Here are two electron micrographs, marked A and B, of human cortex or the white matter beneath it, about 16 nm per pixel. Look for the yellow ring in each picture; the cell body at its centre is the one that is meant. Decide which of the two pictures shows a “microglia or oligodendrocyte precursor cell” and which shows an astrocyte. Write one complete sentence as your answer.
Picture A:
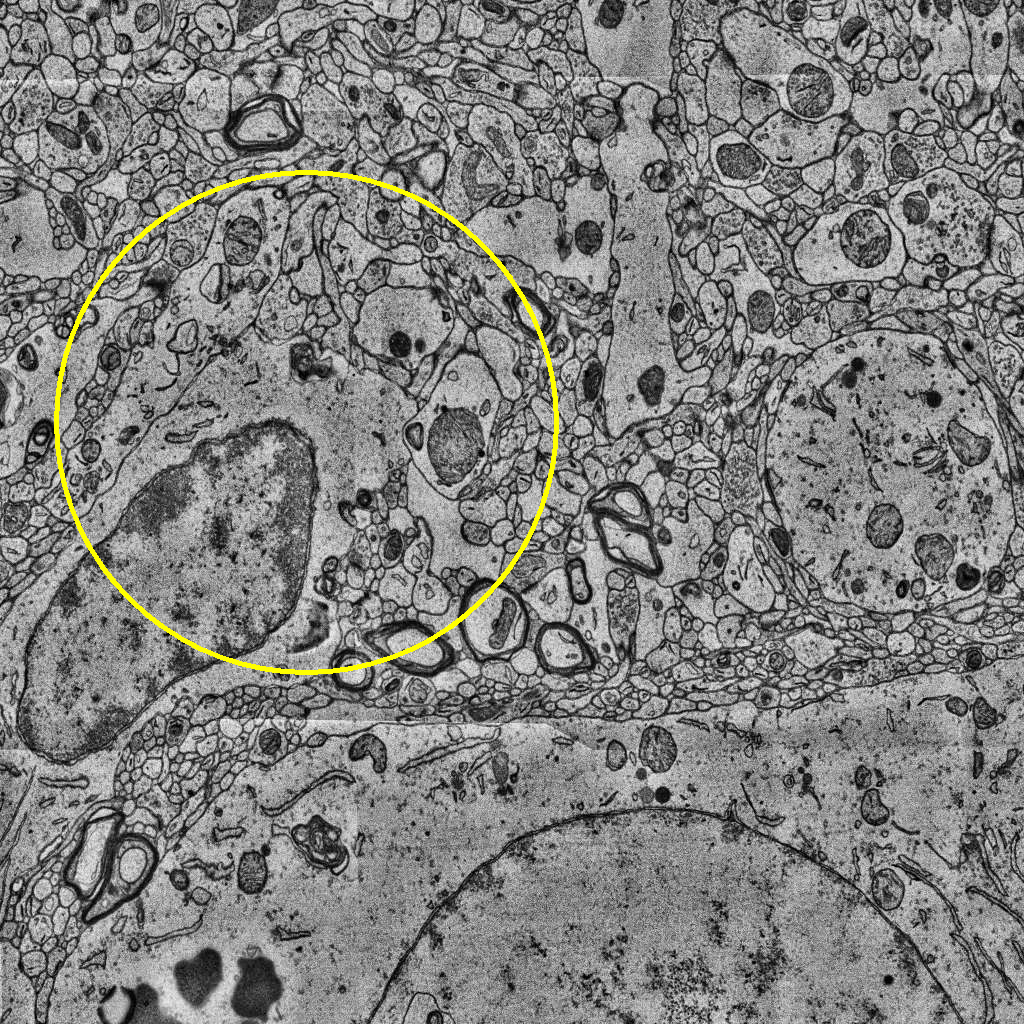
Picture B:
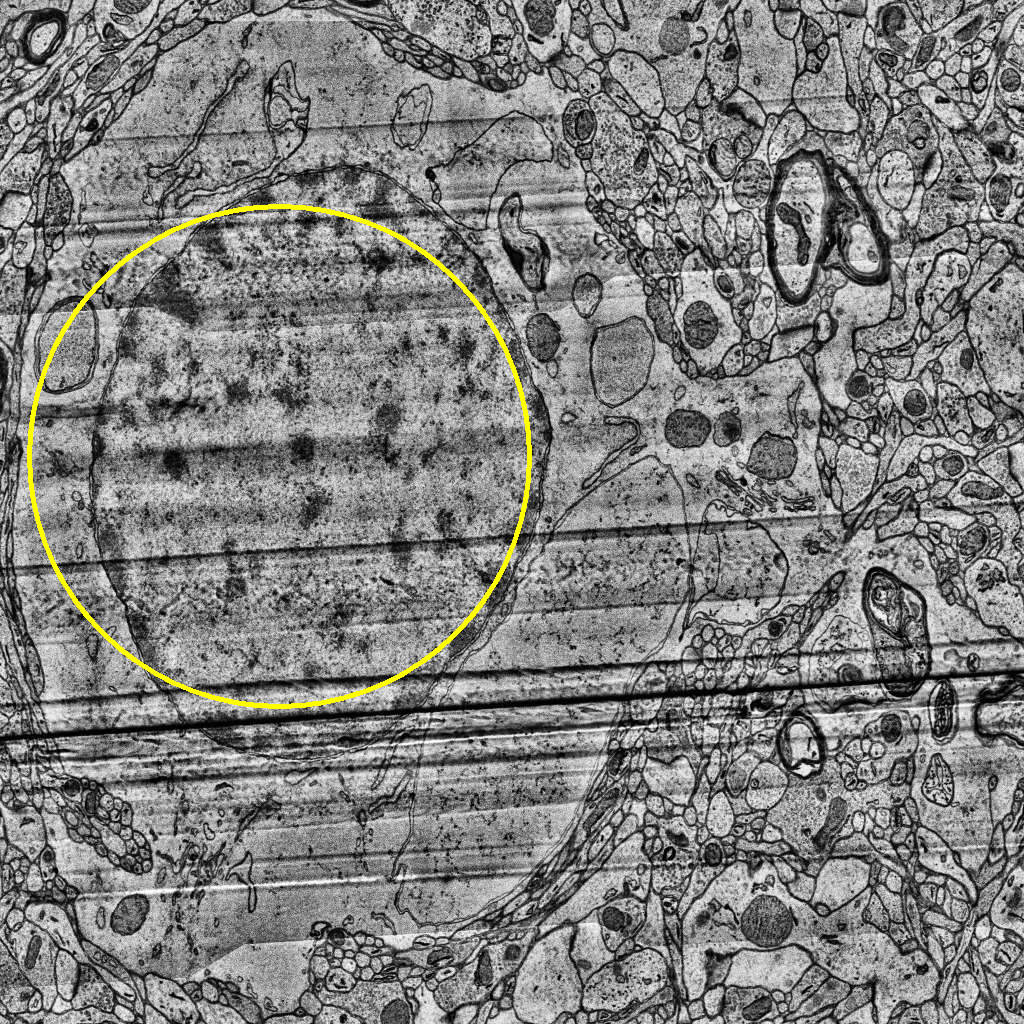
In picture A the cell is a “microglia or oligodendrocyte precursor cell”; in picture B, an astrocyte.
